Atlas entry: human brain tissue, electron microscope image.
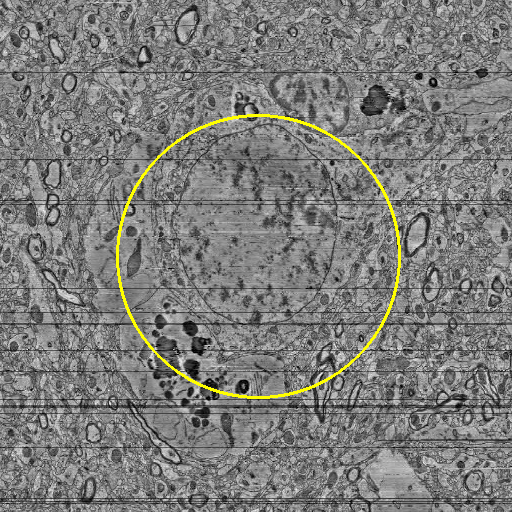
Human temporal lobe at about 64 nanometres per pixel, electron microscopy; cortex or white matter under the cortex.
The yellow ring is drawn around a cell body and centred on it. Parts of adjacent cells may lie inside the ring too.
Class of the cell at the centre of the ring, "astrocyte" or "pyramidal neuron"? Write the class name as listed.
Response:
pyramidal neuron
